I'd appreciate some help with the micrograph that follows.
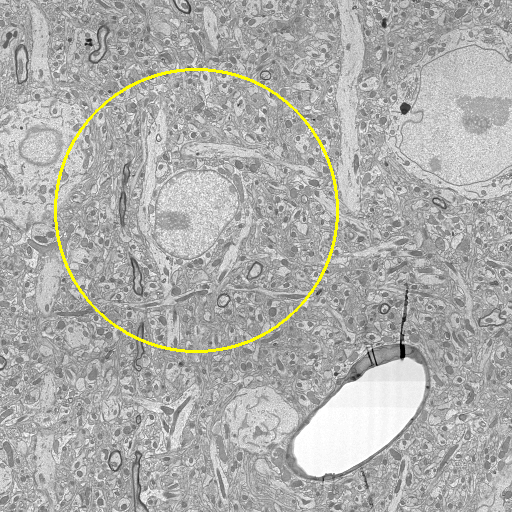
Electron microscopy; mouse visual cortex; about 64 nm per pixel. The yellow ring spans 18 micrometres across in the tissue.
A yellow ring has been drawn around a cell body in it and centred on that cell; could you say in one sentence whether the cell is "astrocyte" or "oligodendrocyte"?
It is an astrocyte at the centre of the ring.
